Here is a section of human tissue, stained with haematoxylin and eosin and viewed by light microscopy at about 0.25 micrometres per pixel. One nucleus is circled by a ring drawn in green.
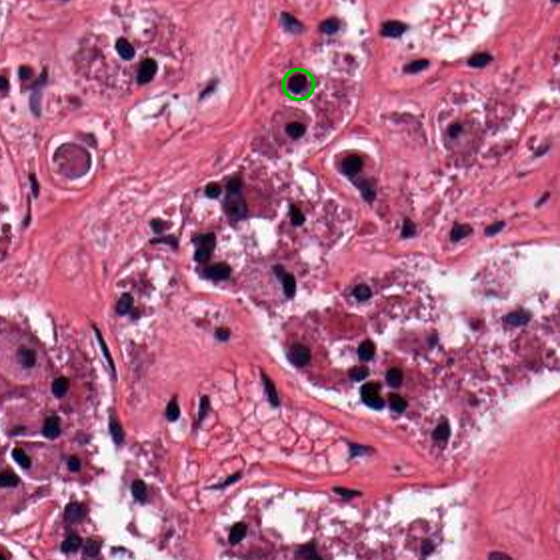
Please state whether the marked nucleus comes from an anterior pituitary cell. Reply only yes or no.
yes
